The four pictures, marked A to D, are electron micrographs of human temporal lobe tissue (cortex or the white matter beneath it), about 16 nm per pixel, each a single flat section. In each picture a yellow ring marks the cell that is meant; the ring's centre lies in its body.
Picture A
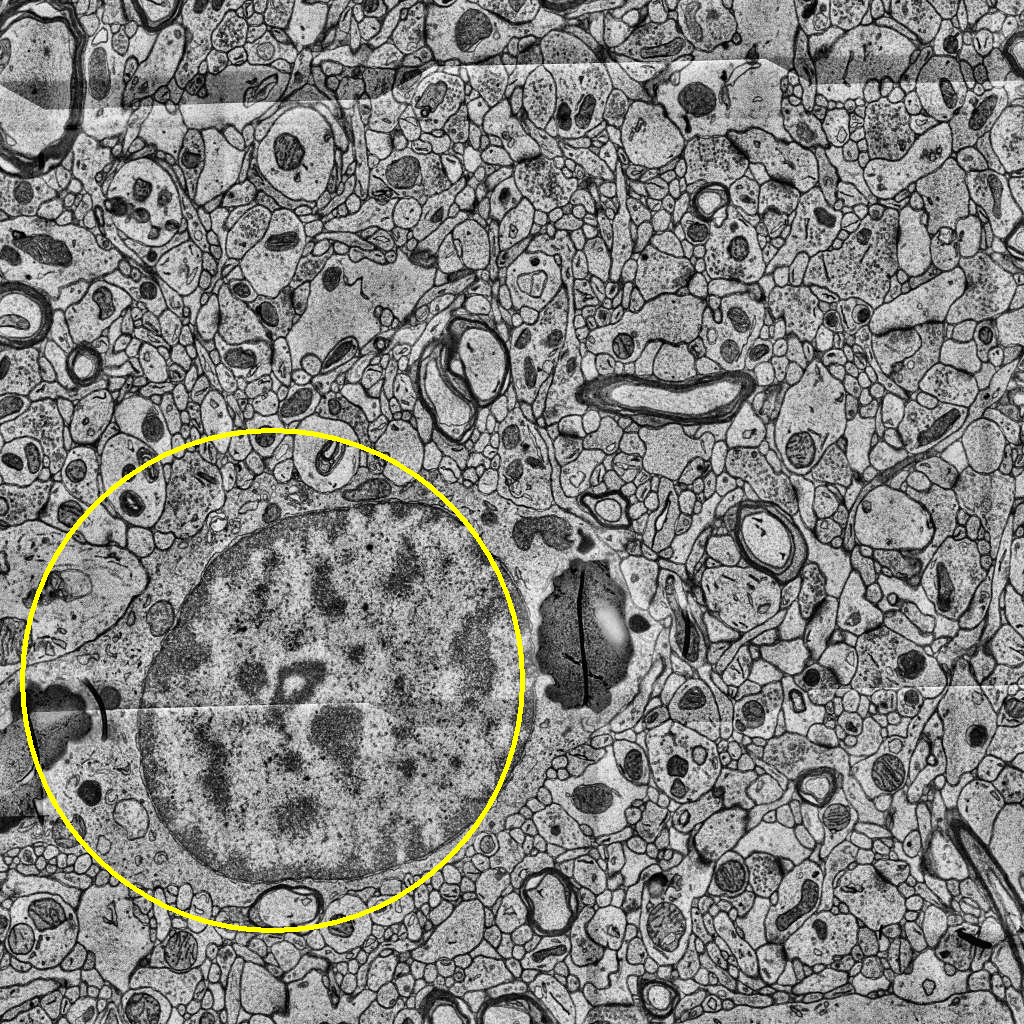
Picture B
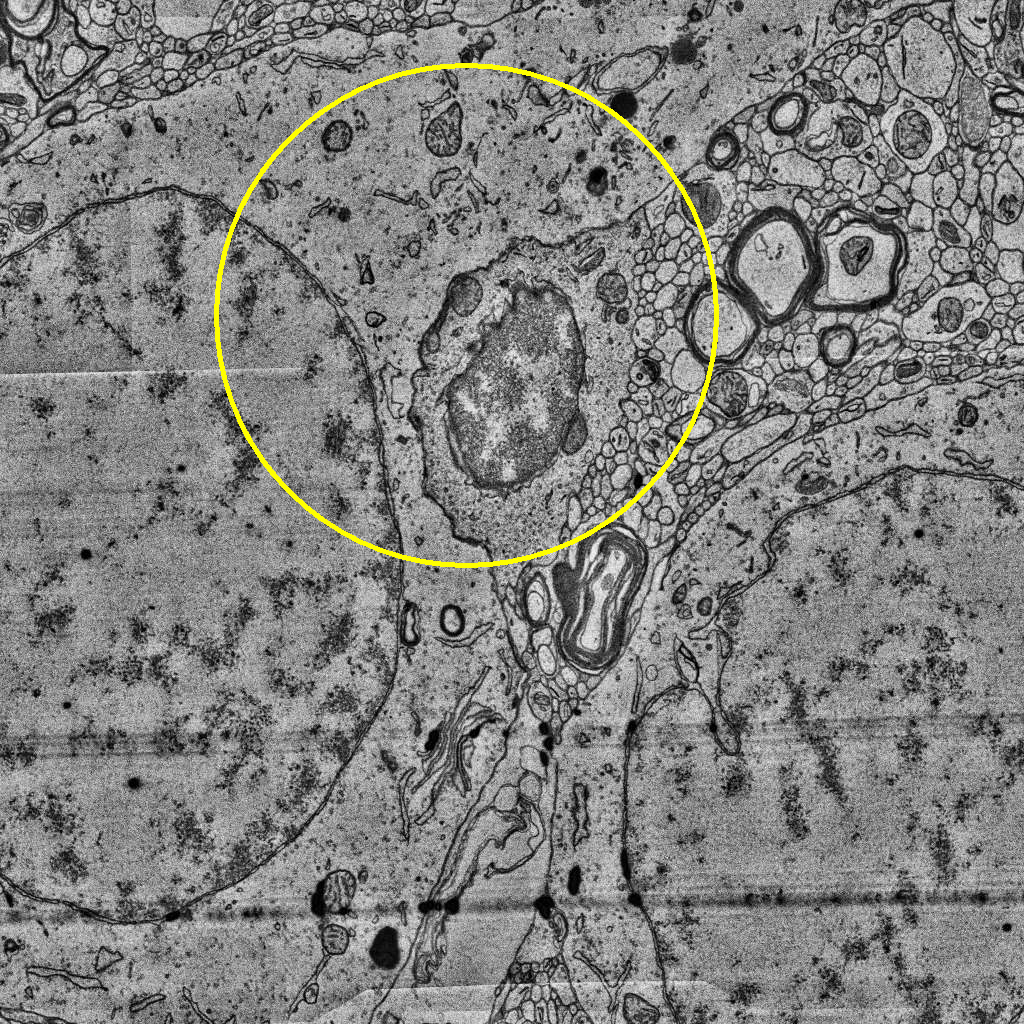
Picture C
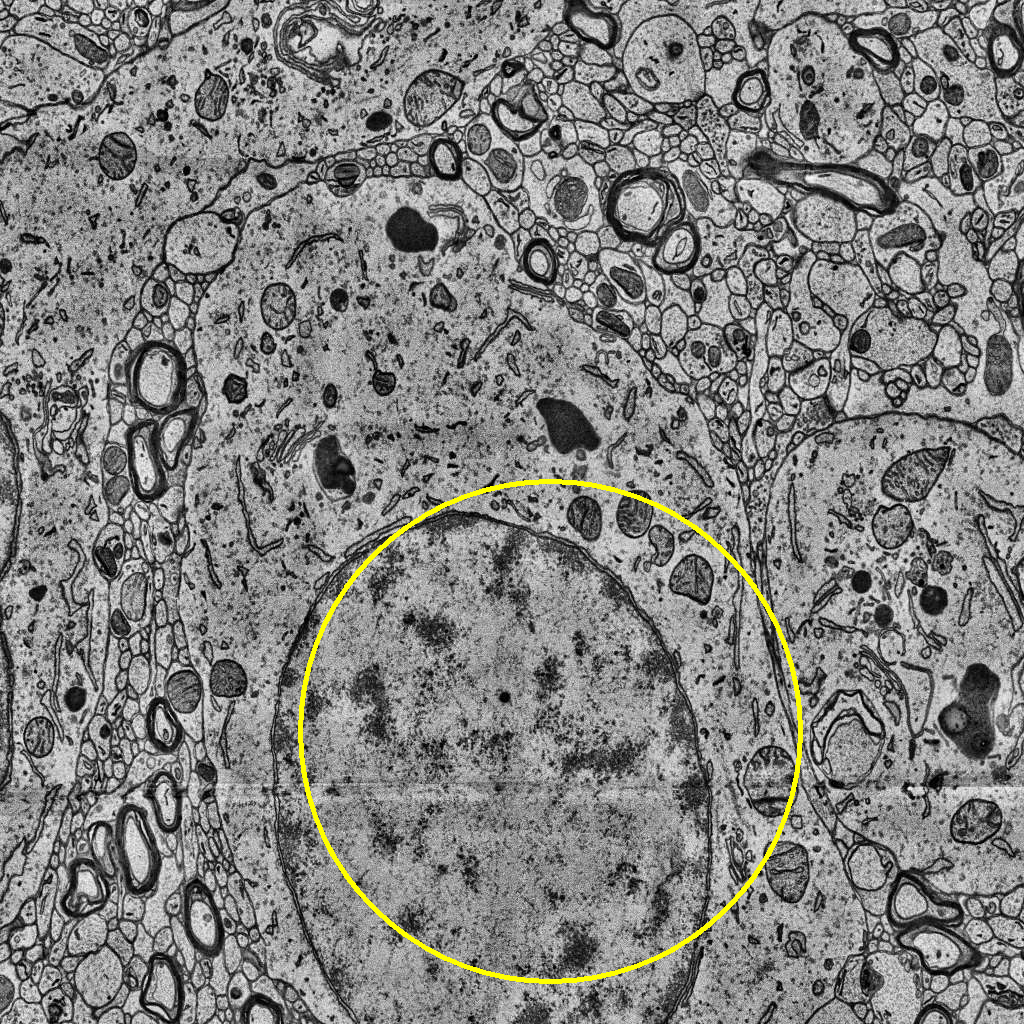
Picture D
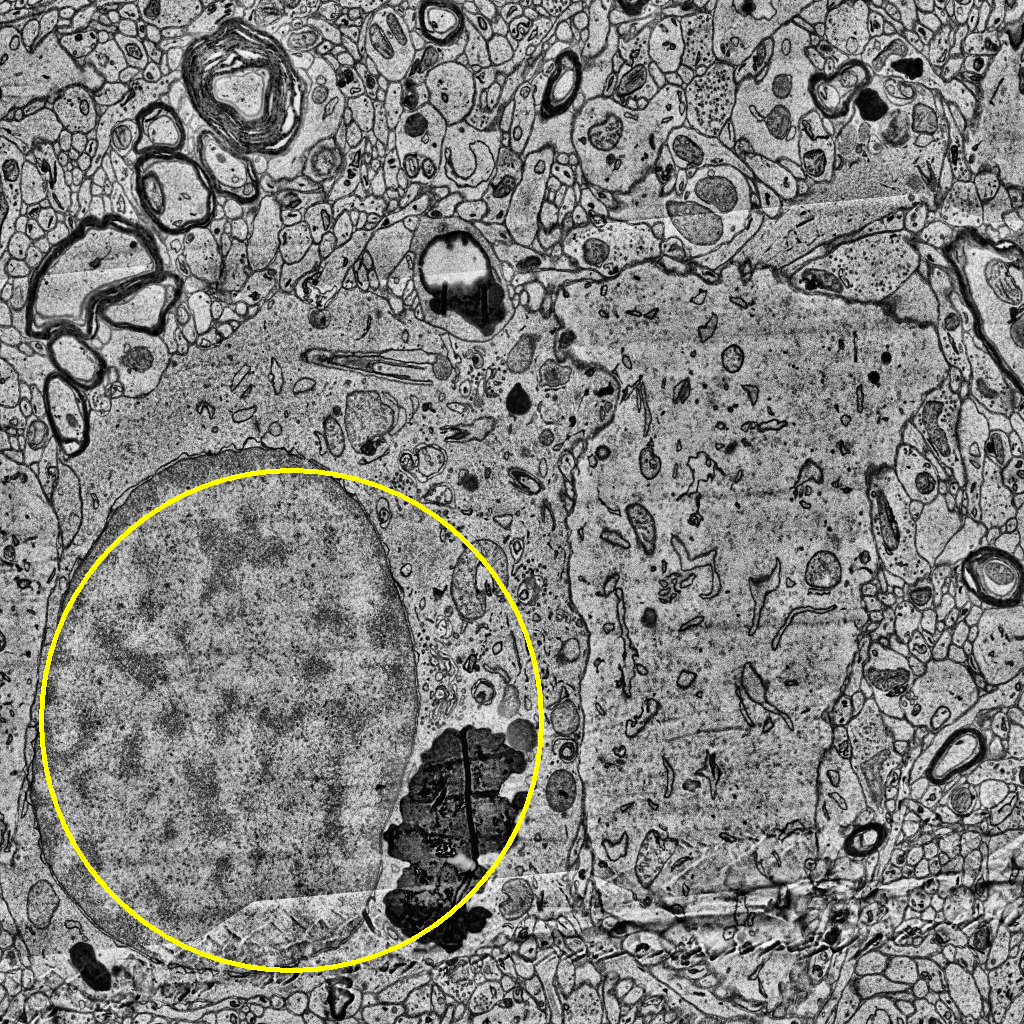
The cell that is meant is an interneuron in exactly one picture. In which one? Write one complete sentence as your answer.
The picture with the interneuron is C.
